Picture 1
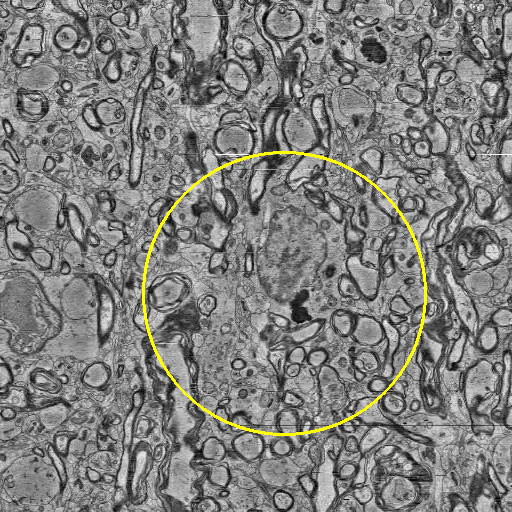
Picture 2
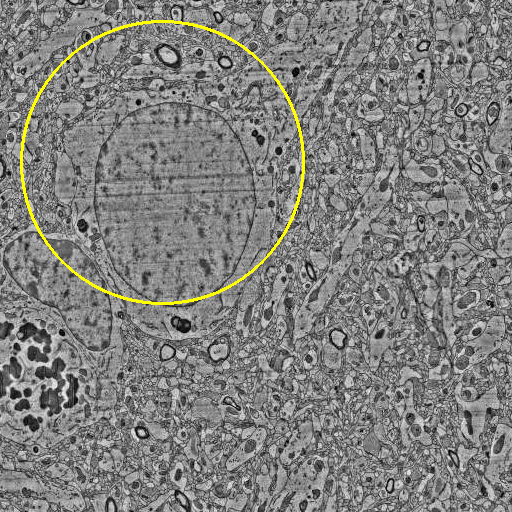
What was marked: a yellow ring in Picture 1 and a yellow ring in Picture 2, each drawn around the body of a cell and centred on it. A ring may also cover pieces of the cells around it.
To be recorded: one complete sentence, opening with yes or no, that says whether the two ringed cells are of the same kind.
No, the two ringed cells are of two kinds.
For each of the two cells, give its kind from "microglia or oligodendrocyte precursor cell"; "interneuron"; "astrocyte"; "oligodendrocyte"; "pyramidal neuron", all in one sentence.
The first picture has an oligodendrocyte in its ring, the second has a pyramidal neuron.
